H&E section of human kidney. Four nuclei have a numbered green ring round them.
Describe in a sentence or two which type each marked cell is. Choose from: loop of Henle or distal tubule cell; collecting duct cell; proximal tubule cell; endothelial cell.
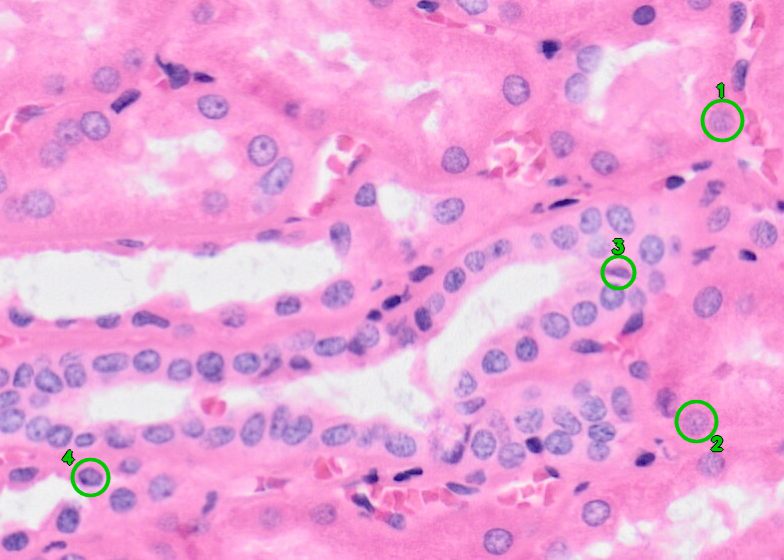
Cells 1 and 2 are proximal tubule cells. Cell 3 is a collecting duct cell. Cell 4 is a loop of Henle or distal tubule cell.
